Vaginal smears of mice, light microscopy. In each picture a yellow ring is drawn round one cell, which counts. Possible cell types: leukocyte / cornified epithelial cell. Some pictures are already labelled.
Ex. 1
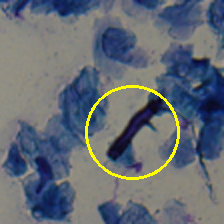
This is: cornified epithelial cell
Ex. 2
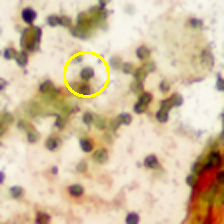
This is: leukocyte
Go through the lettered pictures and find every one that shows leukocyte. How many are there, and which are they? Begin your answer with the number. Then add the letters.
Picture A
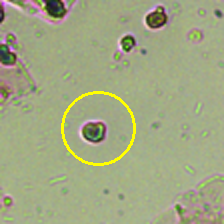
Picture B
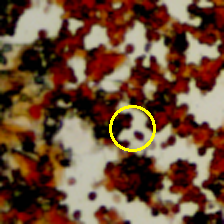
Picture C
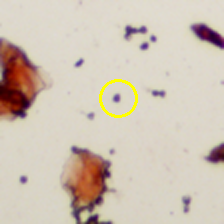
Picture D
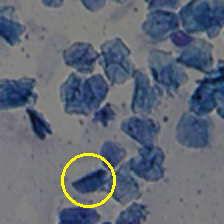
3: A, B, C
